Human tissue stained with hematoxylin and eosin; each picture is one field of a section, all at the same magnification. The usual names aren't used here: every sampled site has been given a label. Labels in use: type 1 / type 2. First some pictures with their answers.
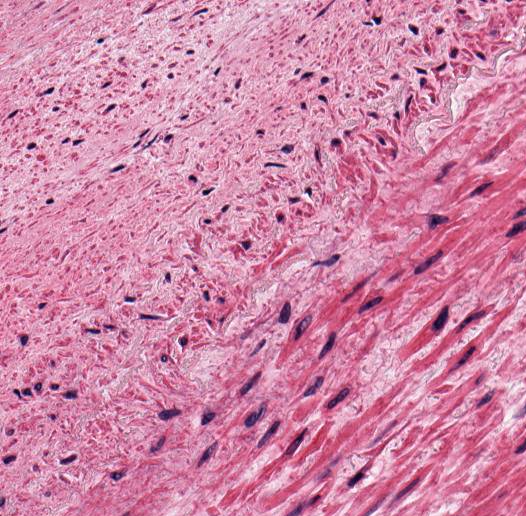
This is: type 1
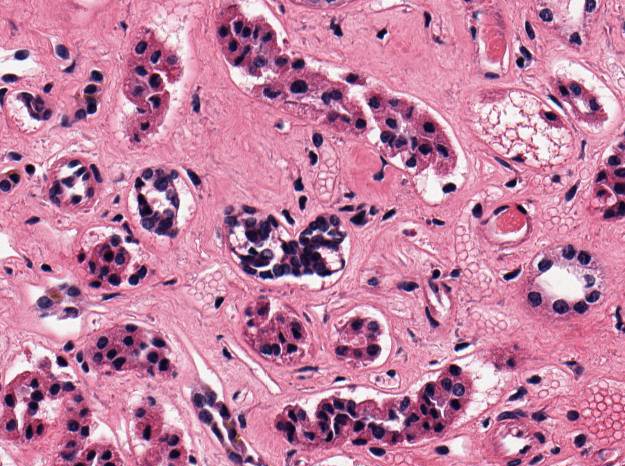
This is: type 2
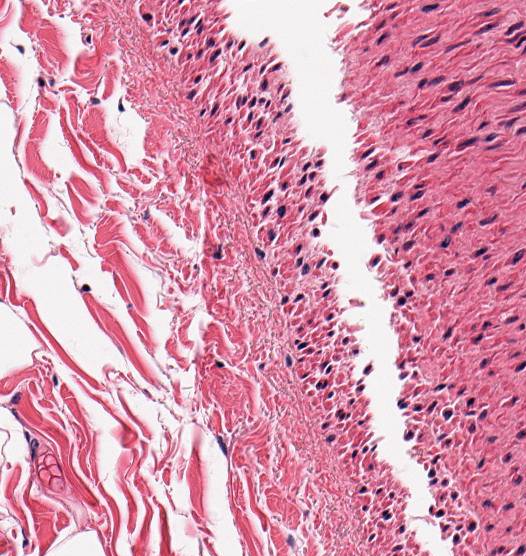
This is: type 1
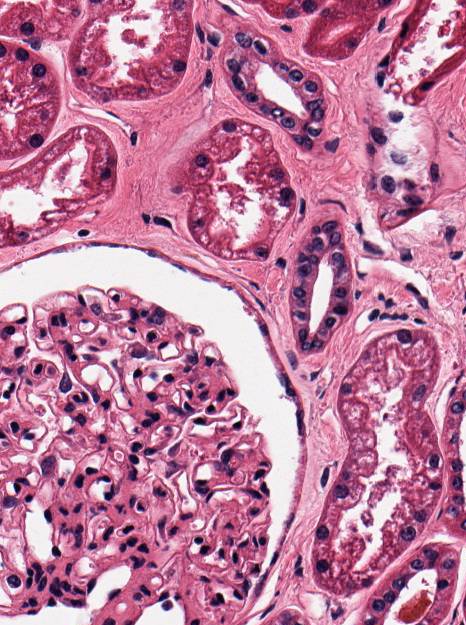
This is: type 2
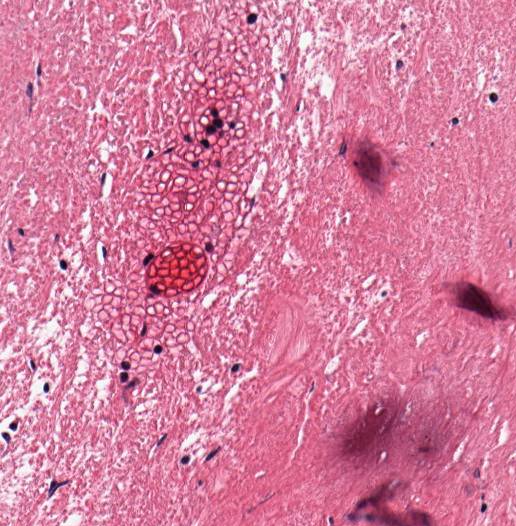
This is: type 1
